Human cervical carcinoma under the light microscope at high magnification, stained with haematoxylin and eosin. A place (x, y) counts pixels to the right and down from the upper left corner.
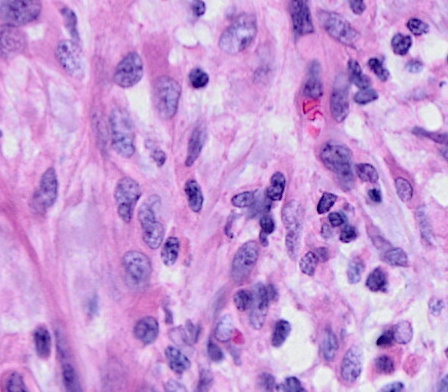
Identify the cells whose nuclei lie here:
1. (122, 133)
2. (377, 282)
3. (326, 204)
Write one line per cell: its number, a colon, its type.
1: endothelial cell
2: lymphocyte
3: lymphocyte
